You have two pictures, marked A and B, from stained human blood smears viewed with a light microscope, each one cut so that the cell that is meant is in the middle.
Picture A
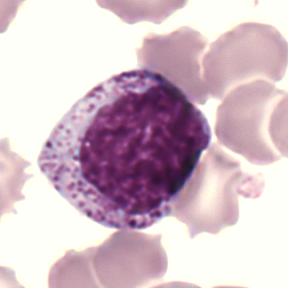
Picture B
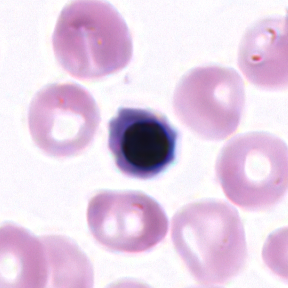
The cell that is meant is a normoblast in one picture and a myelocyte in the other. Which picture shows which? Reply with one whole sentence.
Picture A is of a myelocyte, and picture B is of a normoblast.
